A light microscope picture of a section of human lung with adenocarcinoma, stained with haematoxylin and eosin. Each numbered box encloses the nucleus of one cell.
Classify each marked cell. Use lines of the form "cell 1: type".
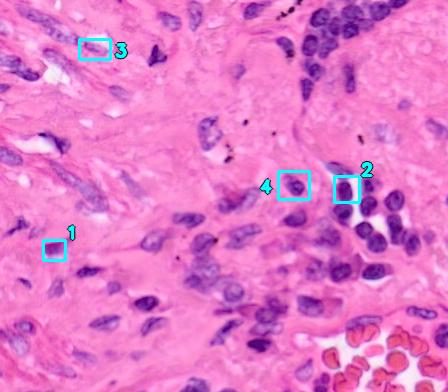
cell 1: plasma cell
cell 2: lymphocyte
cell 3: smooth muscle cell or pericyte
cell 4: lymphocyte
